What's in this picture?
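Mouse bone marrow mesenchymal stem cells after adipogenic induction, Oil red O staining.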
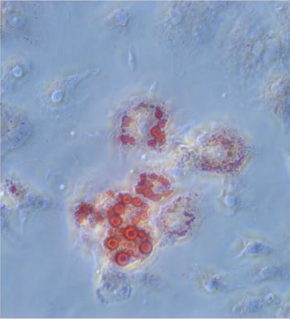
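Look at the cluster left of centre: several cells have rounded up and their cytoplasm is crowded with round droplets stained red, some large enough to show a clear rim, like beads packed together. Around them other cells are flatter, with pale greyish cytoplasm and only a faint scatter of small red dots or none at all. Nuclei are hard to make out under the droplets.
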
